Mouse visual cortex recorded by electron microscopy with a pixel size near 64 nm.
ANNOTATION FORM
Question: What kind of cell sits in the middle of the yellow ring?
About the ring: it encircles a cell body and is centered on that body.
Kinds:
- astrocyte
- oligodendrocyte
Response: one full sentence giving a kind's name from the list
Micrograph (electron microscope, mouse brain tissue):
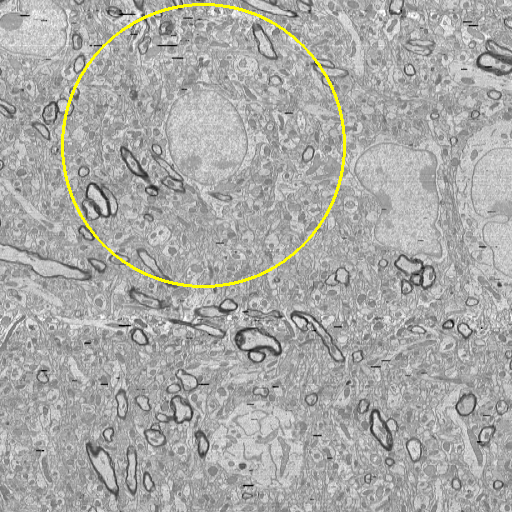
The kind of cell found at the center of the yellow ring in the micrograph is an astrocyte.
